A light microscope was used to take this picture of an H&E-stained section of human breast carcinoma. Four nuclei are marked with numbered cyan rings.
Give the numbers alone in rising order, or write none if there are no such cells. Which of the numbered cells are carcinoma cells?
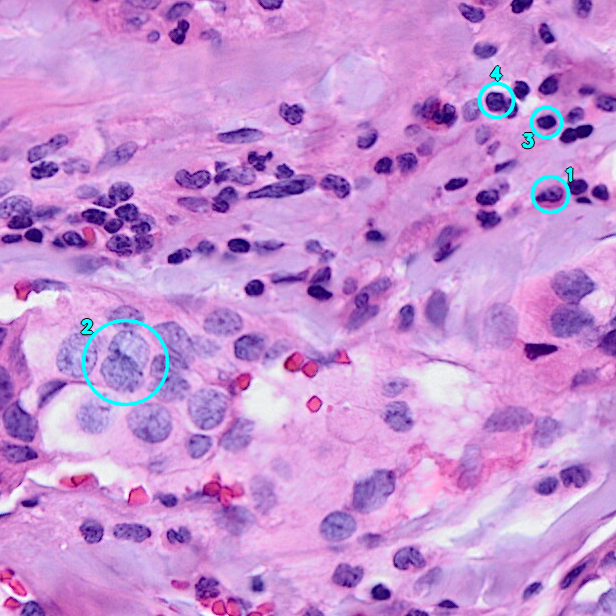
2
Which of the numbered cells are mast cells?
1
